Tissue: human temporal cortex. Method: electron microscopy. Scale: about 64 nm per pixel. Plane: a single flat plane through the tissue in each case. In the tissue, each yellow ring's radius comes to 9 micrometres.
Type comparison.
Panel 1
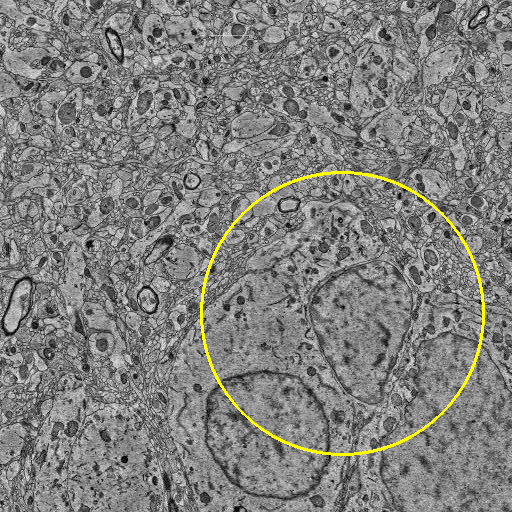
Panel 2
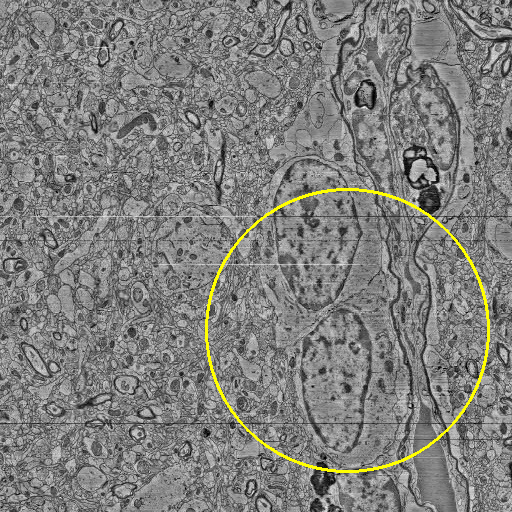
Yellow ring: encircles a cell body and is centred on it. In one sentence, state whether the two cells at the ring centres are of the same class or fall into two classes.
In these panels, the two cells at the ring centres are of the same class.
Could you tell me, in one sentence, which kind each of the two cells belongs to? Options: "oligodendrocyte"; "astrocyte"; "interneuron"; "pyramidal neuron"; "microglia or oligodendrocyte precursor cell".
In the first picture and in the second, the ring is centred on a microglial cell or oligodendrocyte precursor cell.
